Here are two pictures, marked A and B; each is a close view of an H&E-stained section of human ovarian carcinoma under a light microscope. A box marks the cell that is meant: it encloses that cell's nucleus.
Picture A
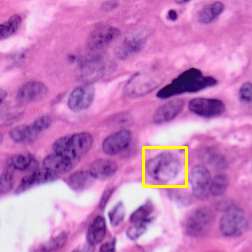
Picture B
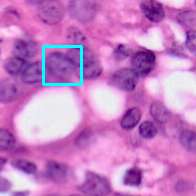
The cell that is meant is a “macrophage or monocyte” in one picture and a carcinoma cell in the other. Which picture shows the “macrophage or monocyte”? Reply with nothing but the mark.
A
